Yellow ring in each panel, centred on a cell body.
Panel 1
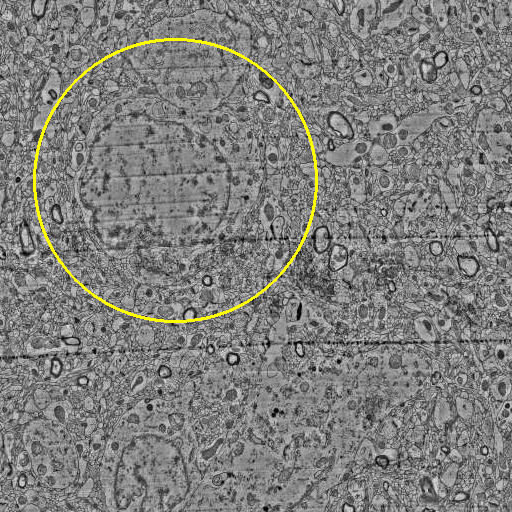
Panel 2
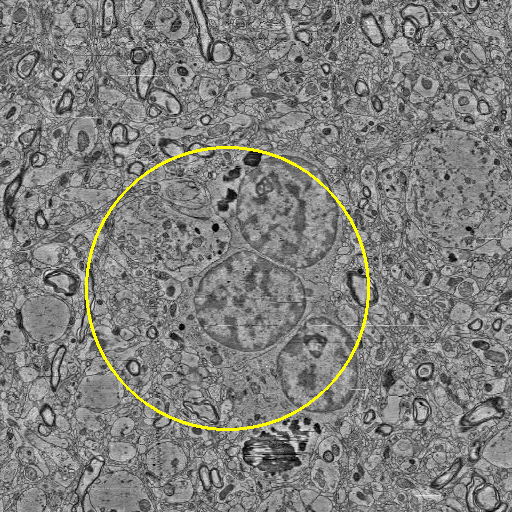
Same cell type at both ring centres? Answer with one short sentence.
No, the two cells are of two types.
